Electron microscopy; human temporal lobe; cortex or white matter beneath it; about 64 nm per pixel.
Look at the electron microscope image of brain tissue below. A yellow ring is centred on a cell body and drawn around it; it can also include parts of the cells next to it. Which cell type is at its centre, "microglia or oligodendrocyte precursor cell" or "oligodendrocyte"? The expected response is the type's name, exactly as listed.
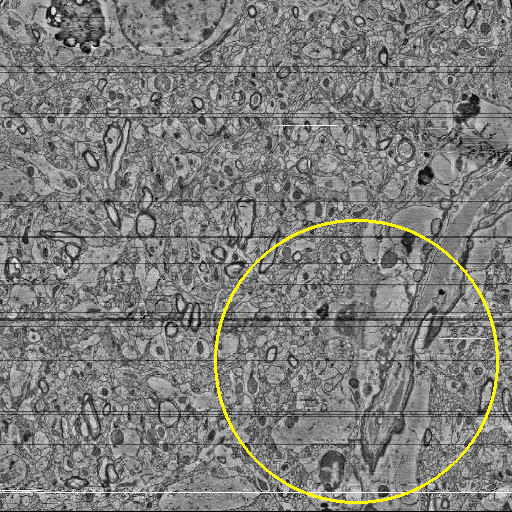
oligodendrocyte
